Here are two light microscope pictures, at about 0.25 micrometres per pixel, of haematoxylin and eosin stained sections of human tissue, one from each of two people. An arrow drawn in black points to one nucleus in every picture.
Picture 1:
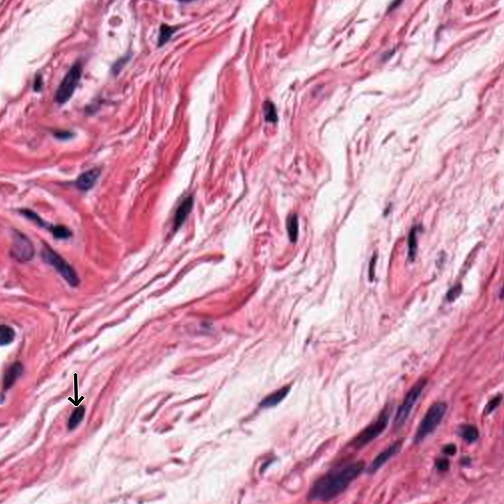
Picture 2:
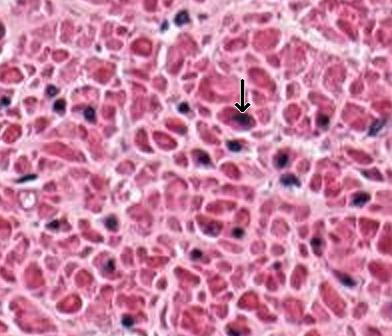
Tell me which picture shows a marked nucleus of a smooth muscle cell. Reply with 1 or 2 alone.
2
